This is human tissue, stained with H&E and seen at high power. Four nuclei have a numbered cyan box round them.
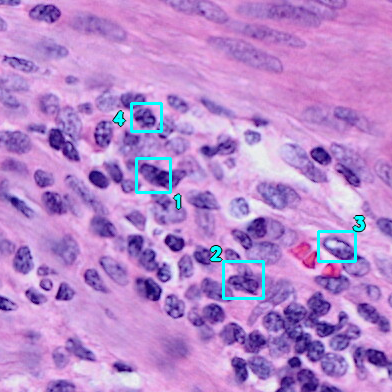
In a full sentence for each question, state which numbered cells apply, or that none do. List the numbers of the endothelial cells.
Only at number 3 is there an endothelial cell.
